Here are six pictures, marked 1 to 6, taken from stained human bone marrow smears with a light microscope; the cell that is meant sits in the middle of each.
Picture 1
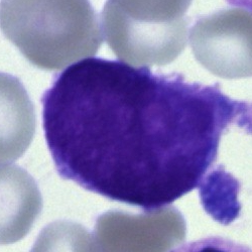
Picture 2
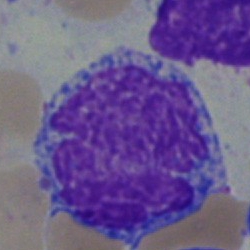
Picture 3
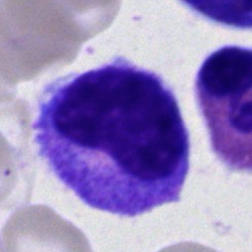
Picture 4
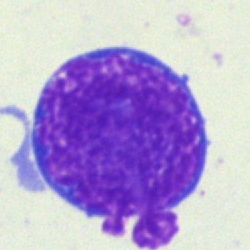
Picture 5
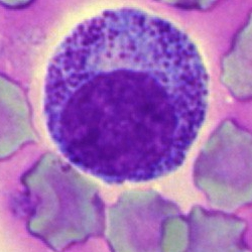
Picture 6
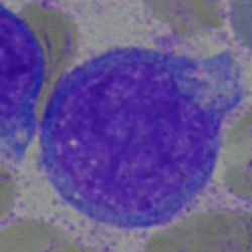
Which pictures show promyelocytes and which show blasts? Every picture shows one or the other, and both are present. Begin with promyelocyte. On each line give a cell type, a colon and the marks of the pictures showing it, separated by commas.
promyelocyte: 3, 5
blast: 1, 2, 4, 6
